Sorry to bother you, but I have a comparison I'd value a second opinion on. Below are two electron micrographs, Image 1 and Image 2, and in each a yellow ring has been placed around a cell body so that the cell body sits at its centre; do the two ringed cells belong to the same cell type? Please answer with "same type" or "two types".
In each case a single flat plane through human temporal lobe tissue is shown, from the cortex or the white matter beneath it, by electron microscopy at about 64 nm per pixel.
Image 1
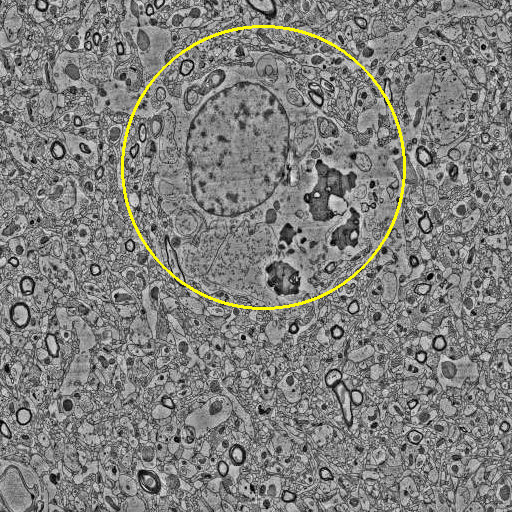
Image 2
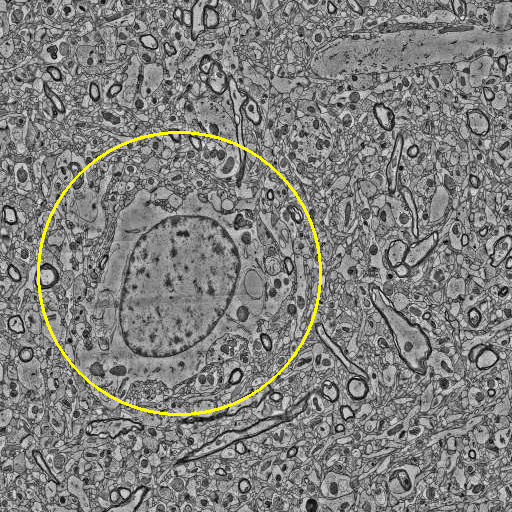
same type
